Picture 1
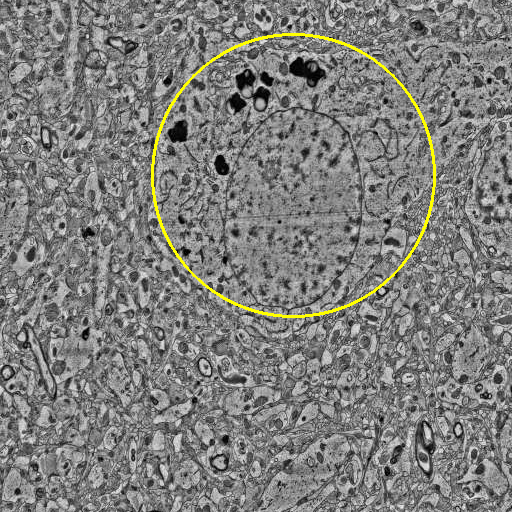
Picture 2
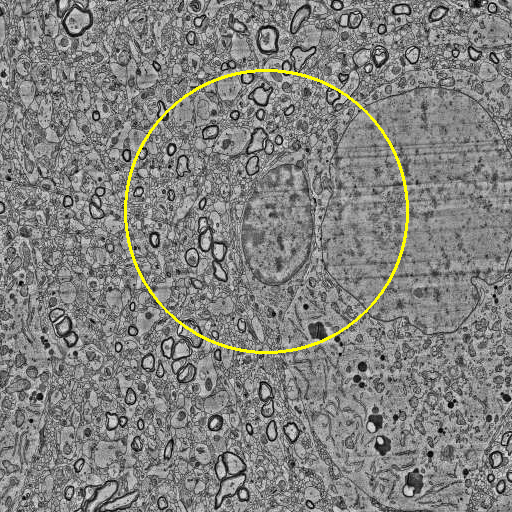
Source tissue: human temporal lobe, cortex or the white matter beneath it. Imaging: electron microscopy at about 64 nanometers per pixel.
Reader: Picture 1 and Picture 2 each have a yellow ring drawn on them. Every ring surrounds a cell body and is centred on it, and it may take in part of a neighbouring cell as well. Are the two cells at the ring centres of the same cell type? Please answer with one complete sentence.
No, the cells are of two cell types.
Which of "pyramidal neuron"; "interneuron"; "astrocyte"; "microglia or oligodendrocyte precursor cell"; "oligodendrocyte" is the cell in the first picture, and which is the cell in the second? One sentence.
The two differ: the first cell is a pyramidal neuron and the second is an oligodendrocyte.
